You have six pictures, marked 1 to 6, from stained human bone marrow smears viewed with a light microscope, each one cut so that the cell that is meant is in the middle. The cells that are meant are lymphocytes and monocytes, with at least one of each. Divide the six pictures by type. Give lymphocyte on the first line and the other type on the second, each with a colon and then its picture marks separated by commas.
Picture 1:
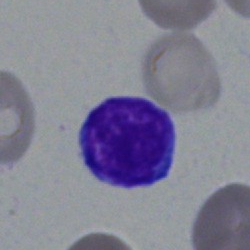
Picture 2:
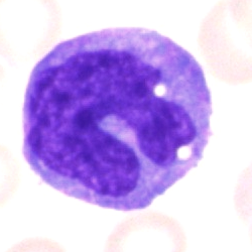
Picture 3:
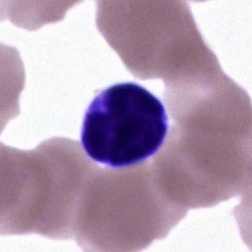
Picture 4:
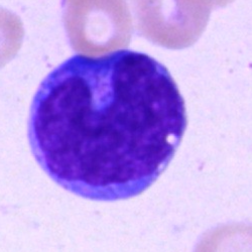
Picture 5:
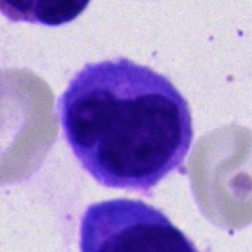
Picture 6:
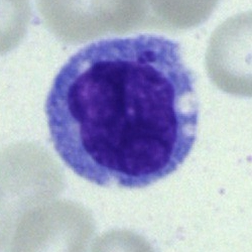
lymphocyte: 1, 3
monocyte: 2, 4, 5, 6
